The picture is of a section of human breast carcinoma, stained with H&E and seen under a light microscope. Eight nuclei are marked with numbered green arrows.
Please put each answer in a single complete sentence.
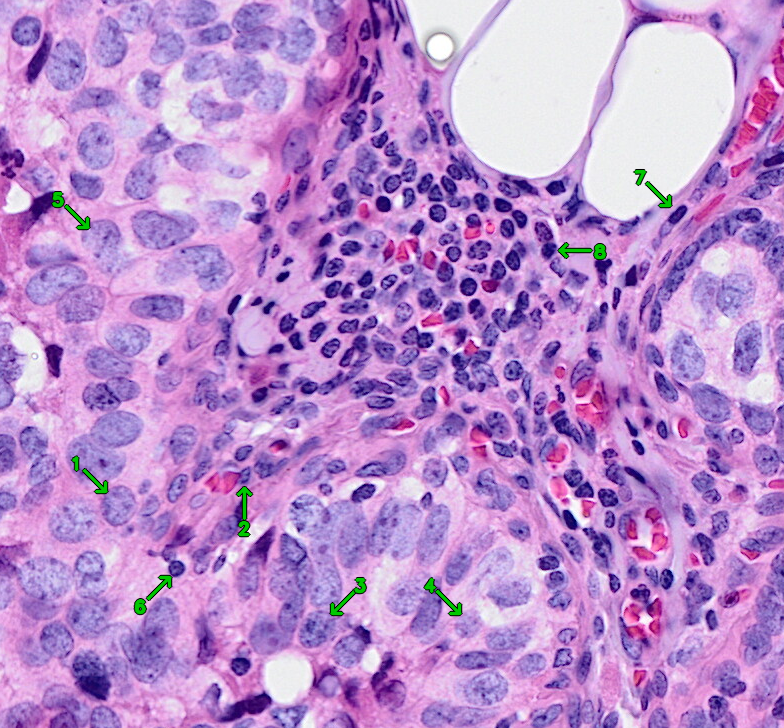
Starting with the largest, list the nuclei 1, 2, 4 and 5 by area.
By area, largest first, they run 5, 1, 4, 2.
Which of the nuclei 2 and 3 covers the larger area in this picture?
Of the two, number 3 is bigger and takes up about 4 times the area of number 2.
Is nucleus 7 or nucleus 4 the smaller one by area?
Nucleus 7 is the smaller one; nucleus 4 covers about 2 times its area.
